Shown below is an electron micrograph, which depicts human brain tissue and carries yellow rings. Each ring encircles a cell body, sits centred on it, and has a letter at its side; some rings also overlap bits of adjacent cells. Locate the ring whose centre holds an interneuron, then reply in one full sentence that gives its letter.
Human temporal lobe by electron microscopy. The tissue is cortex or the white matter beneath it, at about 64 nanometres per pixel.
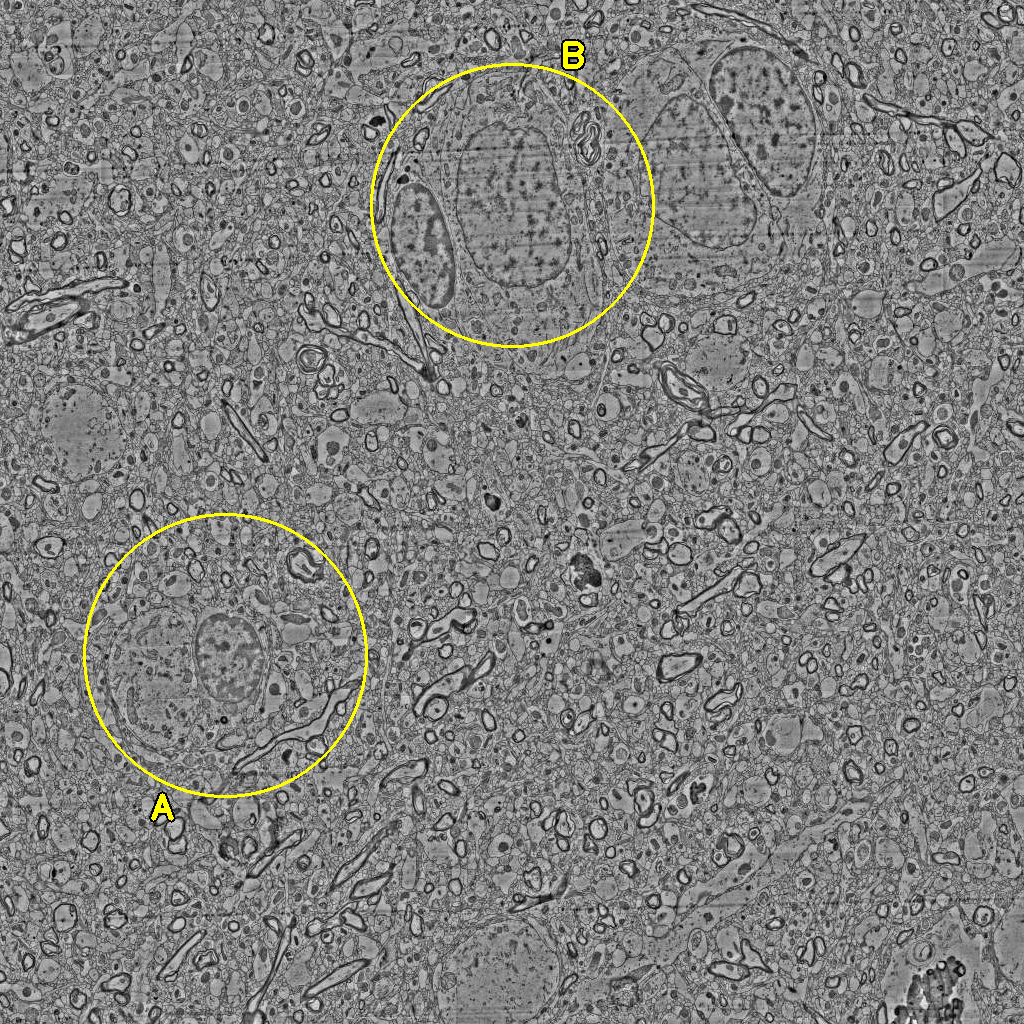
The ring centred on the cell asked for is the one marked B.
